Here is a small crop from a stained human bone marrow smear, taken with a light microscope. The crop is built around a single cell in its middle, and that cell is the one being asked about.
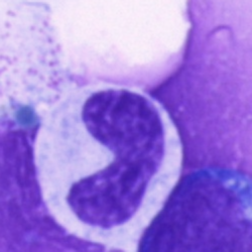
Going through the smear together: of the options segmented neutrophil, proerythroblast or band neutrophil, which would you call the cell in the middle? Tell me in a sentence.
The central cell, amid any neighbouring cells, is a band neutrophil.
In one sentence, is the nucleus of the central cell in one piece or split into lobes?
Between us, the nucleus here is just one compact mass, round, oval or kidney-shaped.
